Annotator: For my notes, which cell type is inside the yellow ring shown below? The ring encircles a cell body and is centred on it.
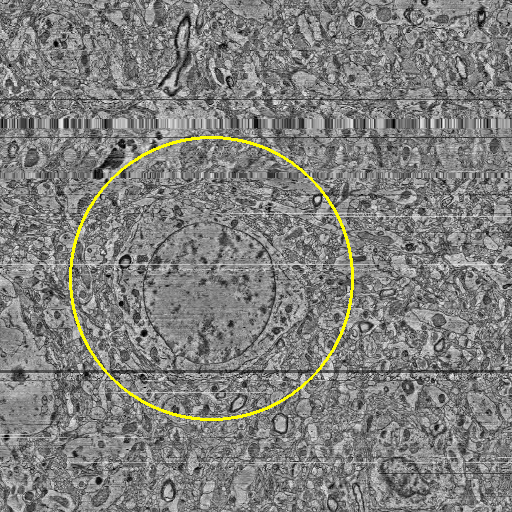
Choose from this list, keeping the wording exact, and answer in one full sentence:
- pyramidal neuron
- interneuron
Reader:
At the centre of the yellow ring there is a pyramidal neuron, as shown in the picture.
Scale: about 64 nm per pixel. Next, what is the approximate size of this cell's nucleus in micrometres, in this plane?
Roughly 9 micrometres across for the nucleus, in this plane.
